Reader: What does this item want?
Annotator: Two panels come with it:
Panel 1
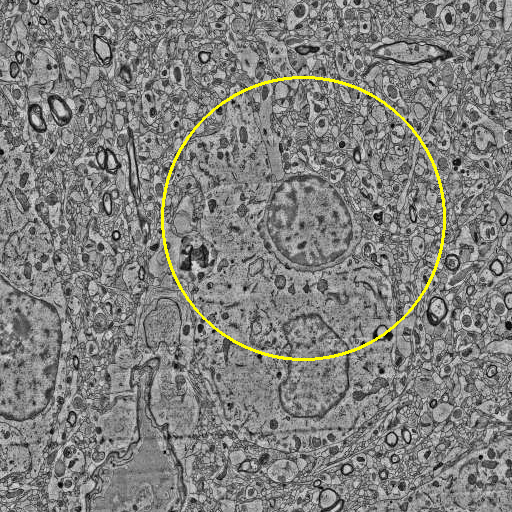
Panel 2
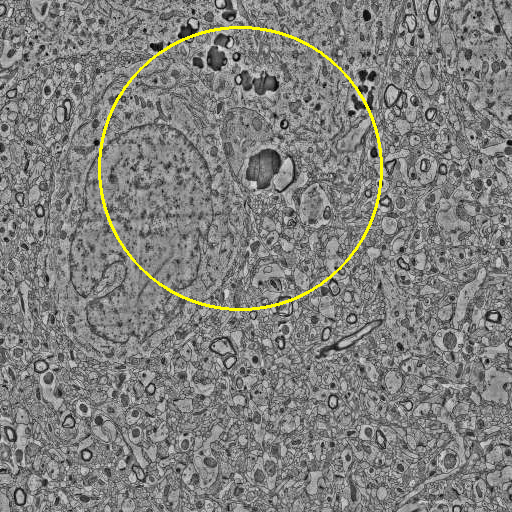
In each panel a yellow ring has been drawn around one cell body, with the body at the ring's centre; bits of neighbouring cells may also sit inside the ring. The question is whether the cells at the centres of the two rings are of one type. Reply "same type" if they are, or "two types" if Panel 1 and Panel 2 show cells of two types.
same type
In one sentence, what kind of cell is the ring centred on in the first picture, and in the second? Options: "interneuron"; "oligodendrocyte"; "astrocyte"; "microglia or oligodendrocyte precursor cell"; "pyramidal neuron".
The first and the second cell are each an oligodendrocyte.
